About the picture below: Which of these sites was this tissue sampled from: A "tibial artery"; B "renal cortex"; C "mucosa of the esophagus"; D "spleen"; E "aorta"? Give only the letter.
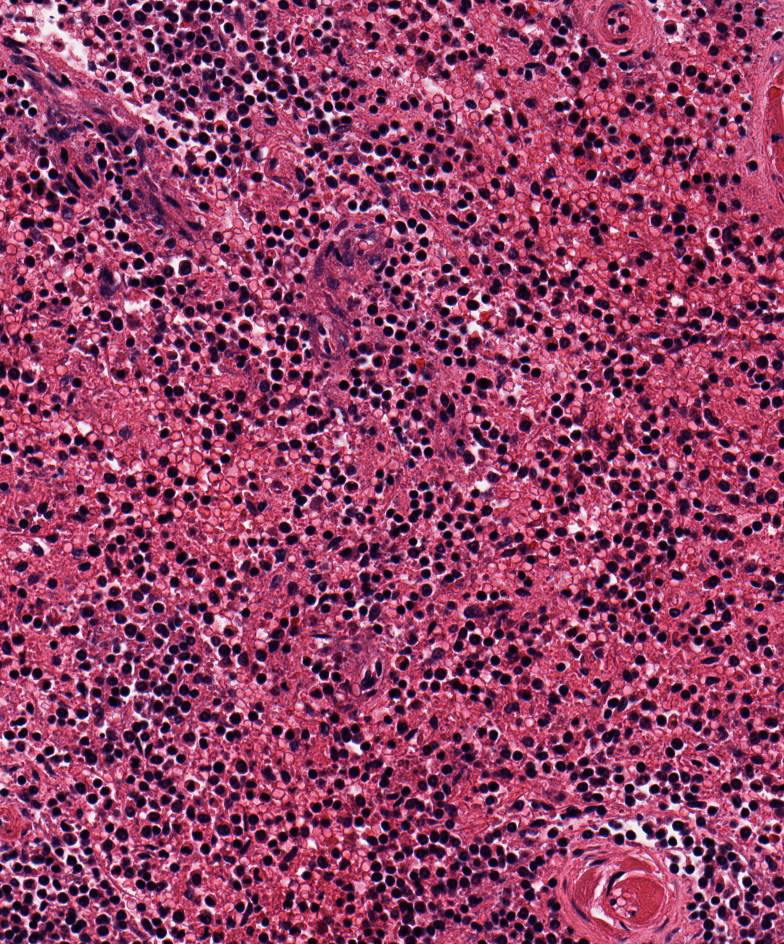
D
